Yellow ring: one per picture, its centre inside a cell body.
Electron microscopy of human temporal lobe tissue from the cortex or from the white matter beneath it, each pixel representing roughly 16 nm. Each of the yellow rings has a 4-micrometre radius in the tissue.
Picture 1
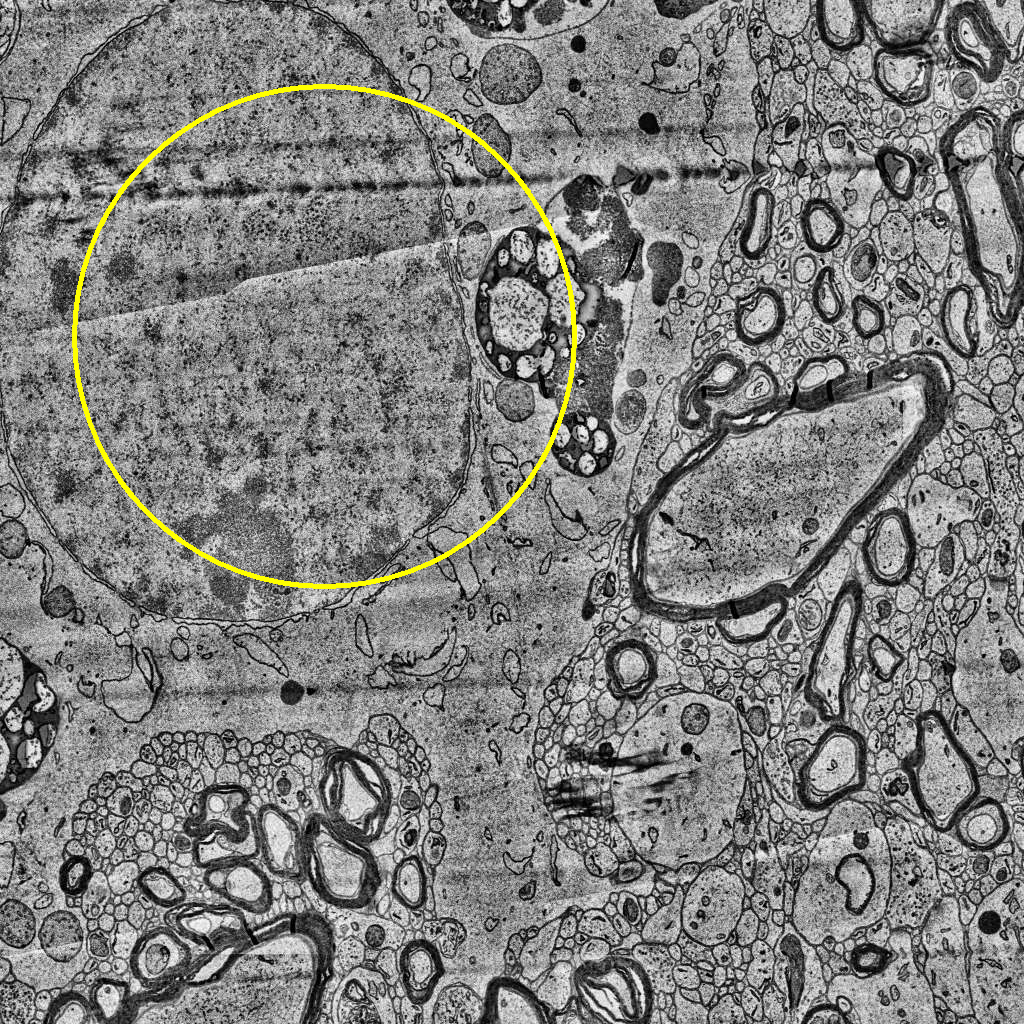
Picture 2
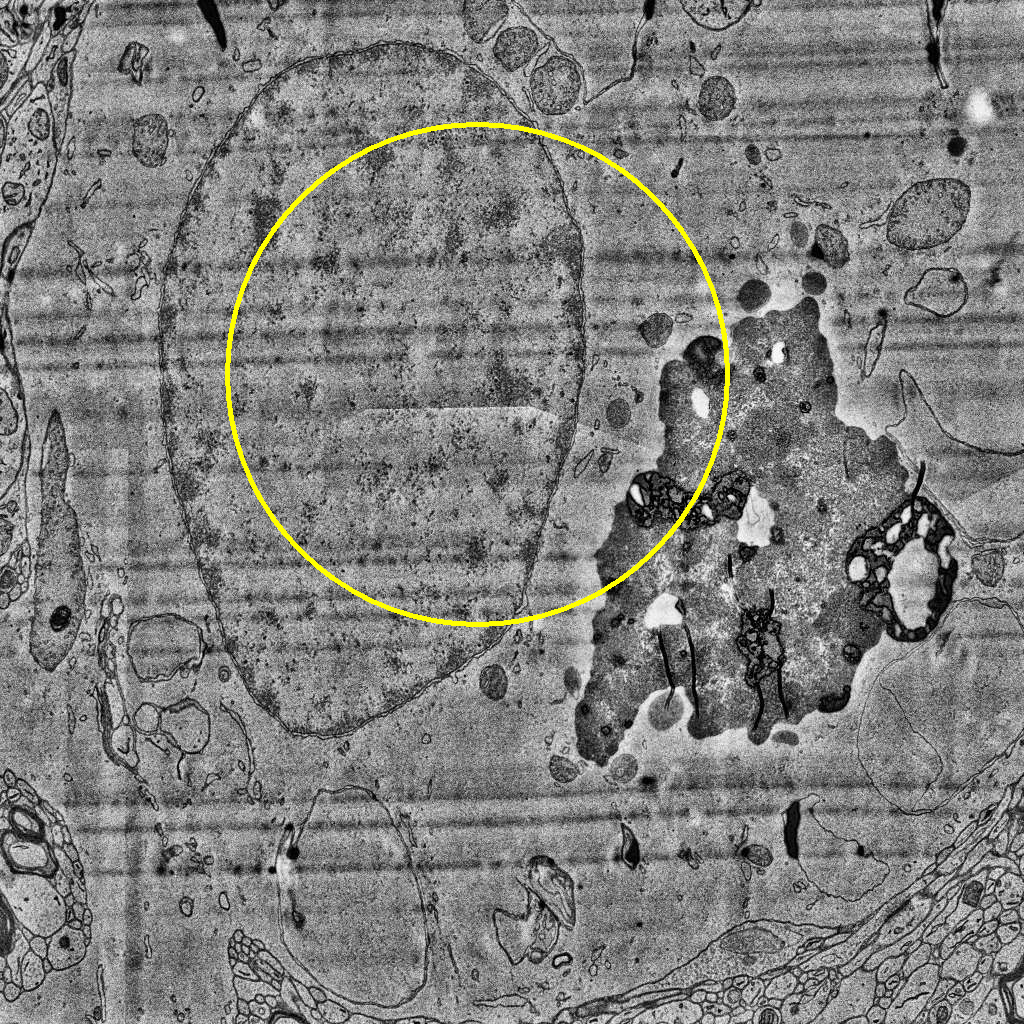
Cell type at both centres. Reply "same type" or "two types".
same type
